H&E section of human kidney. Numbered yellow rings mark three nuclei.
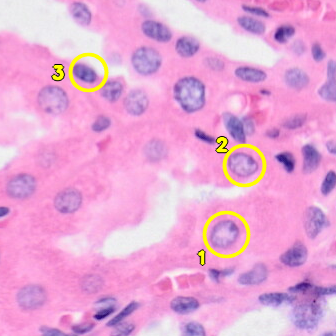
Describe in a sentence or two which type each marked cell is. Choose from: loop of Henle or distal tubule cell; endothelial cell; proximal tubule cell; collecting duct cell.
Cell 1 is a proximal tubule cell, cell 2 is a proximal tubule cell and cell 3 is a loop of Henle or distal tubule cell.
